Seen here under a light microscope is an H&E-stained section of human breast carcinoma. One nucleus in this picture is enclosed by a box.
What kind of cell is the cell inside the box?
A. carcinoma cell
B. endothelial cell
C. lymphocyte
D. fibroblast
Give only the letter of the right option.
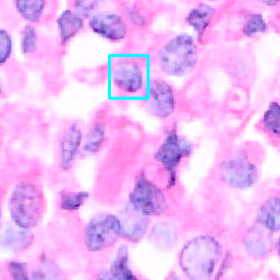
A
